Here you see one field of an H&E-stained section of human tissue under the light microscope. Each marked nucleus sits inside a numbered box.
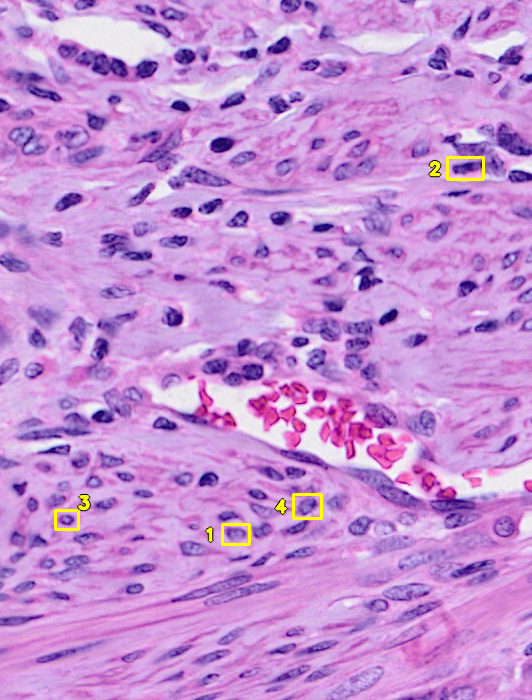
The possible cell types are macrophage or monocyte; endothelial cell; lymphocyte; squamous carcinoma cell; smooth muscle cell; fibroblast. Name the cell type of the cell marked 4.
smooth muscle cell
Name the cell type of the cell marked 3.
smooth muscle cell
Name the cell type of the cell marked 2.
lymphocyte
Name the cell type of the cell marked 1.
smooth muscle cell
